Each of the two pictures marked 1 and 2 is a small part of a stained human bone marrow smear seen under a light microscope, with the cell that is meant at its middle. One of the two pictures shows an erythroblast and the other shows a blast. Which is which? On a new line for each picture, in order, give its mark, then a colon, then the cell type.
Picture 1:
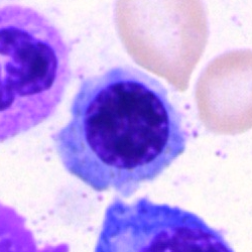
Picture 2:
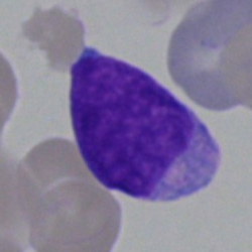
1: erythroblast
2: blast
